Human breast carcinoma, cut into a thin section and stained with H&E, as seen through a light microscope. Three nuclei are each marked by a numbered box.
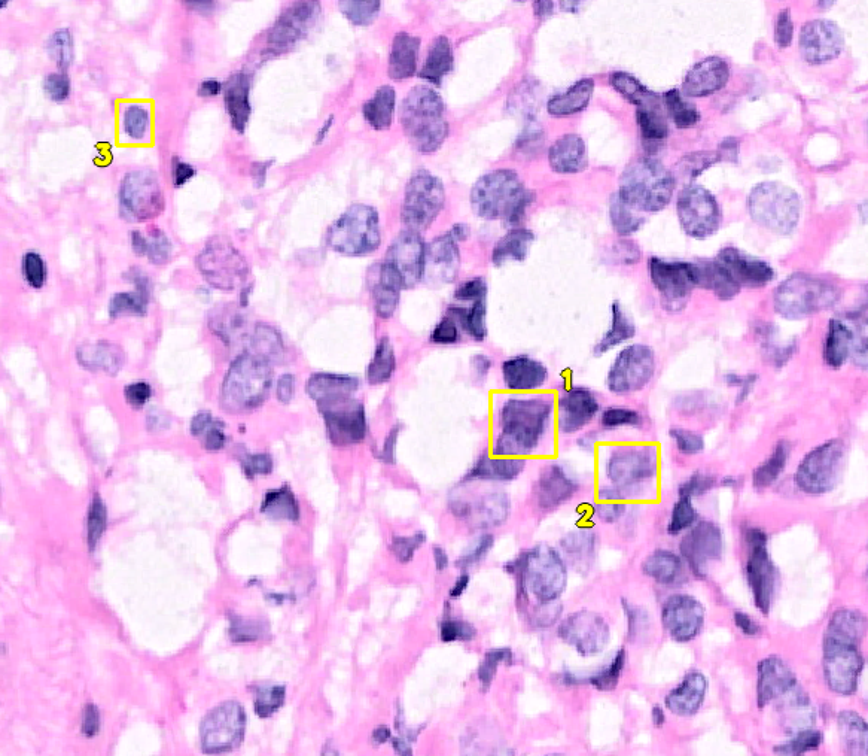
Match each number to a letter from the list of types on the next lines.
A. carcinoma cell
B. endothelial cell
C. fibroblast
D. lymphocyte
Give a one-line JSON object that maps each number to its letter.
{"1": "A", "2": "A", "3": "D"}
